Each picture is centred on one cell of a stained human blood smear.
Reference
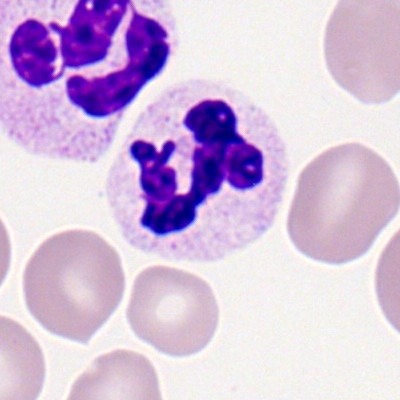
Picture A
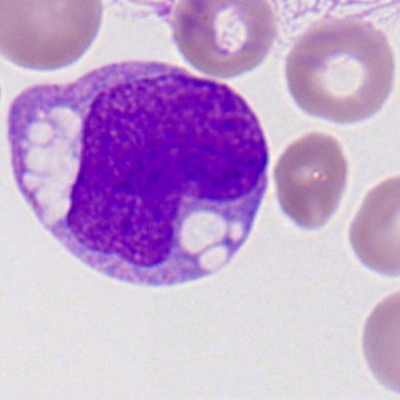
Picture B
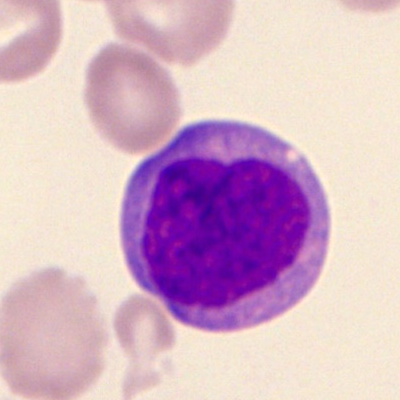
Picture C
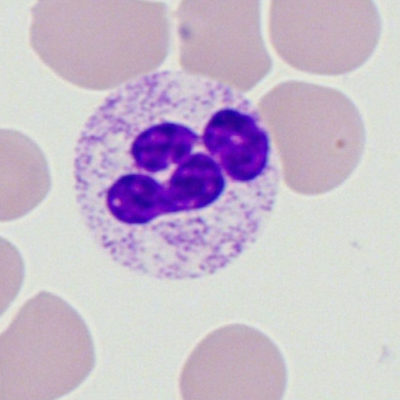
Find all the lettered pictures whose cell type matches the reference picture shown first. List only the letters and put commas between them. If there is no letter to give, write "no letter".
C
